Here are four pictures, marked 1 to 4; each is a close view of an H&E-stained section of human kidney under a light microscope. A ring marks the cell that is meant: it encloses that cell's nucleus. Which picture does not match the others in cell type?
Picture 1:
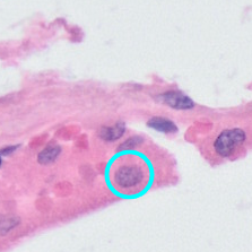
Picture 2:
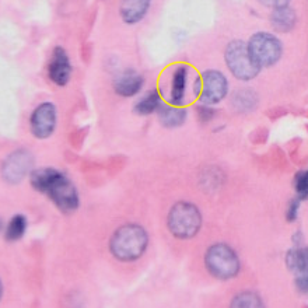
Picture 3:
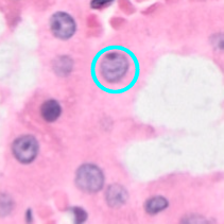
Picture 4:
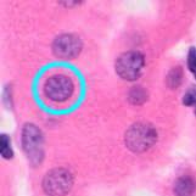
2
